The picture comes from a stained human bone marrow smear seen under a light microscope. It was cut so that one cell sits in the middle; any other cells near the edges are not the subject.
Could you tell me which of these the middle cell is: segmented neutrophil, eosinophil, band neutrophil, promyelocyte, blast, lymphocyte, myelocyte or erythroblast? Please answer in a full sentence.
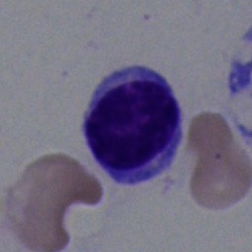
Among the cells in view, the one in the middle is a lymphocyte.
